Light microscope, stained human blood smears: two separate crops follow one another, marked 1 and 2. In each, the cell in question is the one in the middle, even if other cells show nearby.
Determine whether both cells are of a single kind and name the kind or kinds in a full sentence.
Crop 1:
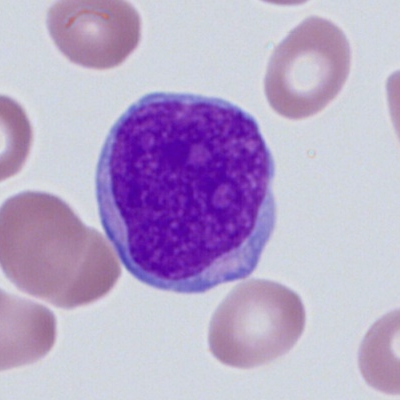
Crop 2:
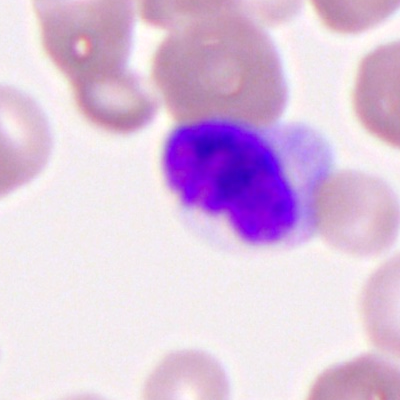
No, crop 1 shows a myeloblast, and the cell in crop 2 is a lymphocyte.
